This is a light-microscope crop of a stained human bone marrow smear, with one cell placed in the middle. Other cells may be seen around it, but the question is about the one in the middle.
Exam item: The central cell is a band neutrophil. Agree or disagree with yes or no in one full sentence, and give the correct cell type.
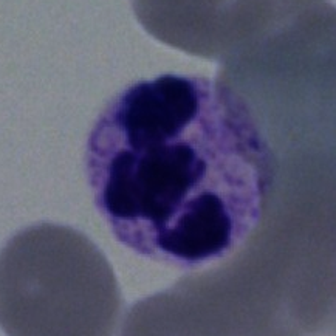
No, the central cell is properly termed a segmented neutrophil, not a band neutrophil.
